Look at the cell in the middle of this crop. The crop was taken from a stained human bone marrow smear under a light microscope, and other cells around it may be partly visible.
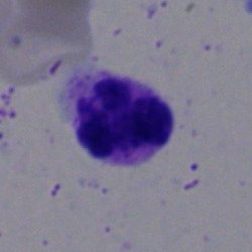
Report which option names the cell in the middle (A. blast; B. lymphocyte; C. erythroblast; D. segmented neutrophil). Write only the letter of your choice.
D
